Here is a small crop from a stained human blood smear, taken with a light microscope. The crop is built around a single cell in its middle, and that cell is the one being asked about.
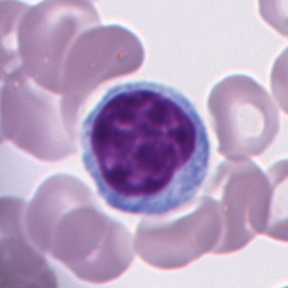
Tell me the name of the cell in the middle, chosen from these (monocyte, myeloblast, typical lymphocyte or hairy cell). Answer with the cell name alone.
typical lymphocyte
